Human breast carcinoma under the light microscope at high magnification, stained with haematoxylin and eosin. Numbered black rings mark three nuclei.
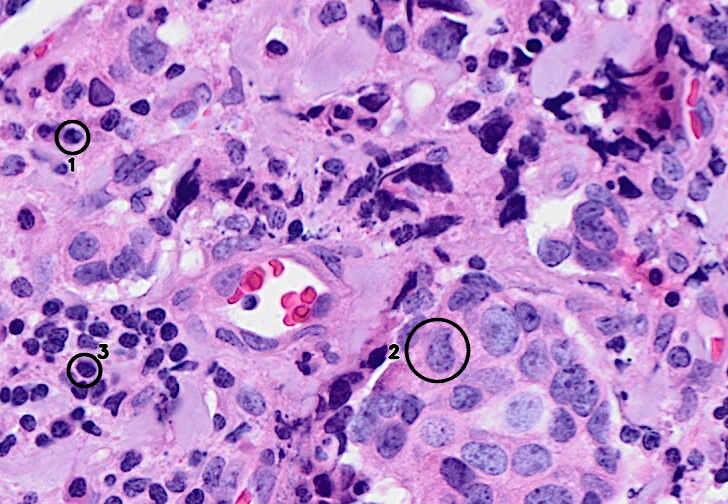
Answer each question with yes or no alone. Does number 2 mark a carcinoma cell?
yes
